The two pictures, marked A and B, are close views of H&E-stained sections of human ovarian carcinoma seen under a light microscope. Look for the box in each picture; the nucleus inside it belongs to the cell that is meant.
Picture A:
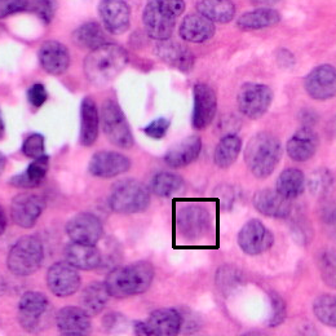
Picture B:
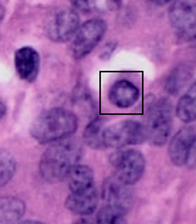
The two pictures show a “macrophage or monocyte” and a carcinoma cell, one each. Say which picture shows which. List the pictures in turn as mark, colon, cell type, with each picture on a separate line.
A: carcinoma cell
B: macrophage or monocyte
